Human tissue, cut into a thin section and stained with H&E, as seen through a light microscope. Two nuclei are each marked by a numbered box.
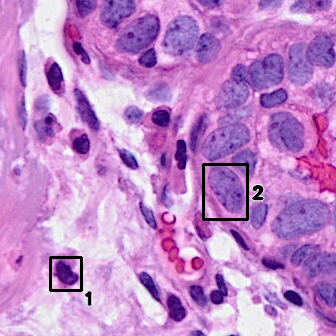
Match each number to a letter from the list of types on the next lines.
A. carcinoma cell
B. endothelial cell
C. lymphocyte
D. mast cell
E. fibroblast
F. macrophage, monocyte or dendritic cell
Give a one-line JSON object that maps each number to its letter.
{"1": "F", "2": "A"}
